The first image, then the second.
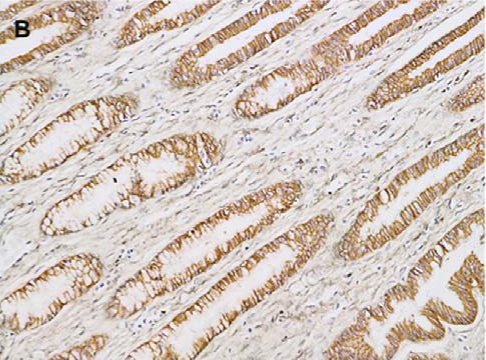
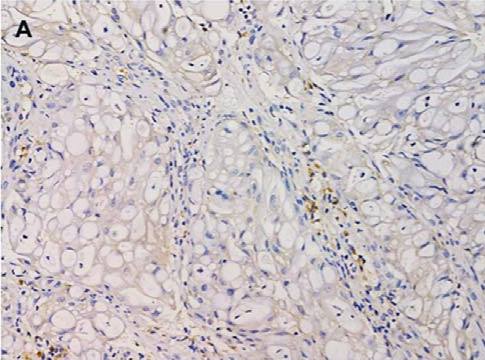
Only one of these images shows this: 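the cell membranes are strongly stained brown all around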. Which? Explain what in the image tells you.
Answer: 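First image: columnar epithelial cells lining elongated structures have dark brown outlines. Second image: vacuolated cells show only faint, patchy brownish tint at their borders. On this evidence: the first image.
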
